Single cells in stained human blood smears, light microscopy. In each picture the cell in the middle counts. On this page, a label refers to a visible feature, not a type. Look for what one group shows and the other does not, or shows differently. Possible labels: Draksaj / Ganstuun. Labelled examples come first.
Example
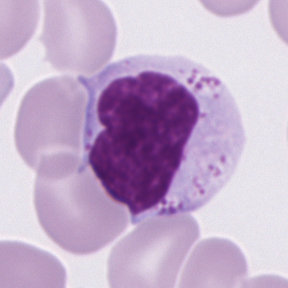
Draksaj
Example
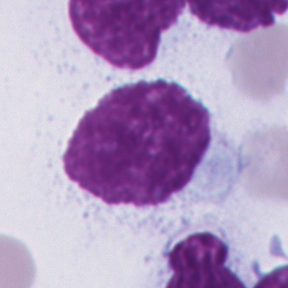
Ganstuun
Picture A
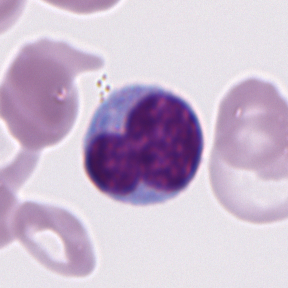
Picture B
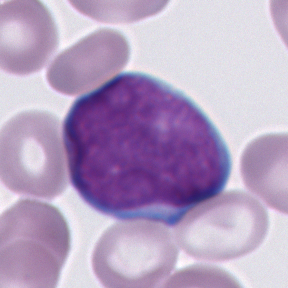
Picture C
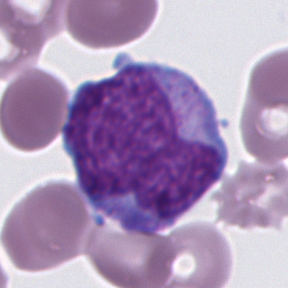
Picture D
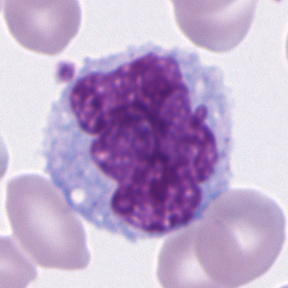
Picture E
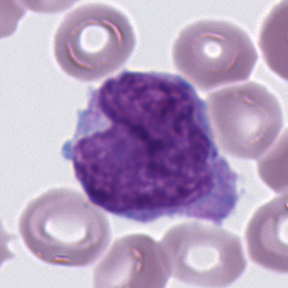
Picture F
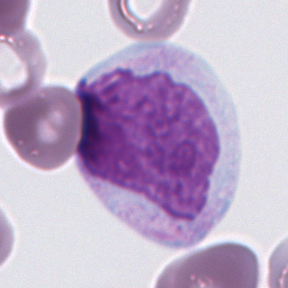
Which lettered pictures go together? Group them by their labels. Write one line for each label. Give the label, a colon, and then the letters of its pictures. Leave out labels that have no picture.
Draksaj: A, B, F
Ganstuun: C, D, E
